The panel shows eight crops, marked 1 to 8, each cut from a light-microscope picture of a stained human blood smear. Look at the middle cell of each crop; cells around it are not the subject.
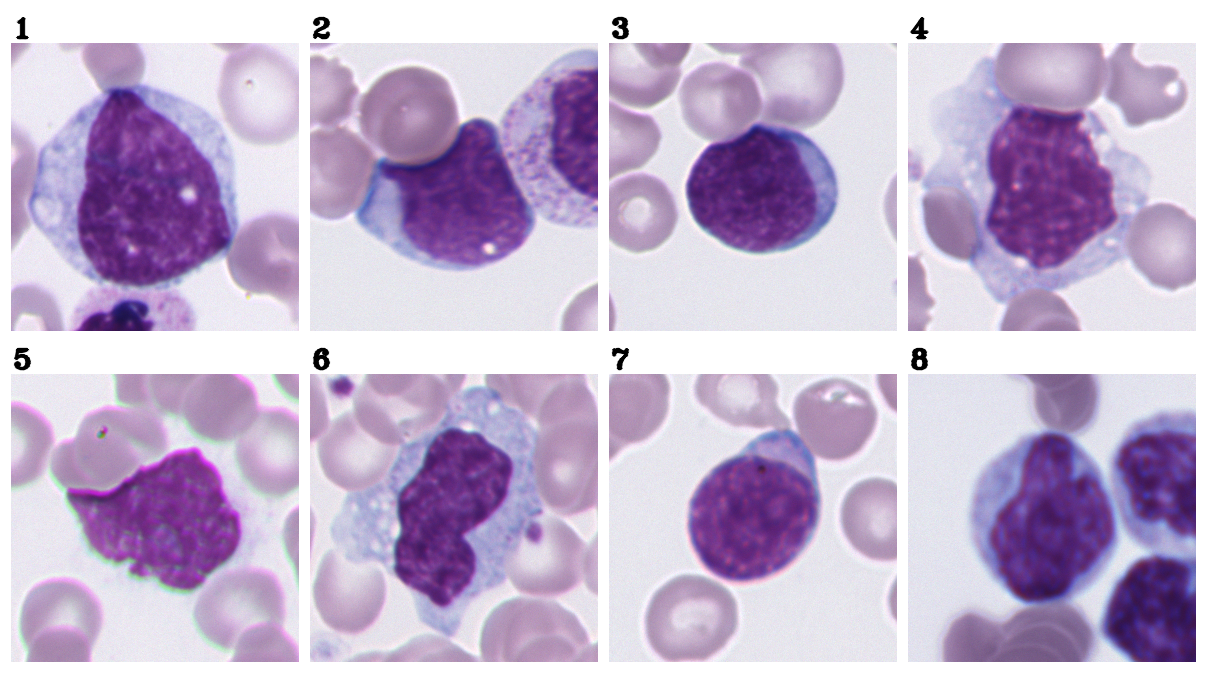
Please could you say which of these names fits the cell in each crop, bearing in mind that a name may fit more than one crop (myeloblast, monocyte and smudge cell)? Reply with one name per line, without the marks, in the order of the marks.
monocyte
myeloblast
myeloblast
monocyte
smudge cell
monocyte
myeloblast
monocyte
